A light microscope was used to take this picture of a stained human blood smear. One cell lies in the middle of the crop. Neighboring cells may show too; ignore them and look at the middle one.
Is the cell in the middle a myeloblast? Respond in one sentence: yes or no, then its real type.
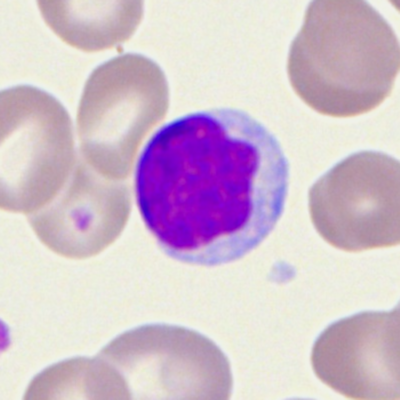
No, the label for the central cell is a lymphocyte, not a myeloblast.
